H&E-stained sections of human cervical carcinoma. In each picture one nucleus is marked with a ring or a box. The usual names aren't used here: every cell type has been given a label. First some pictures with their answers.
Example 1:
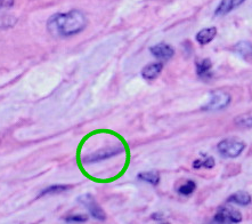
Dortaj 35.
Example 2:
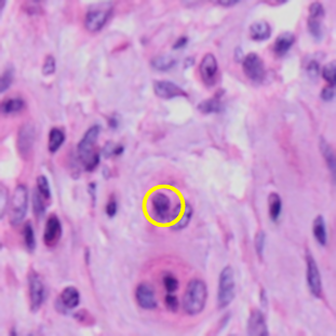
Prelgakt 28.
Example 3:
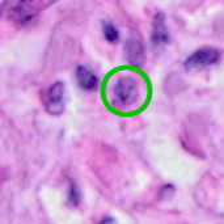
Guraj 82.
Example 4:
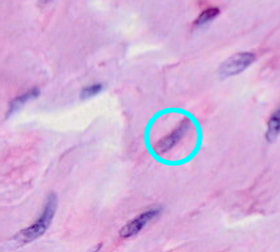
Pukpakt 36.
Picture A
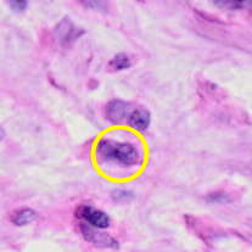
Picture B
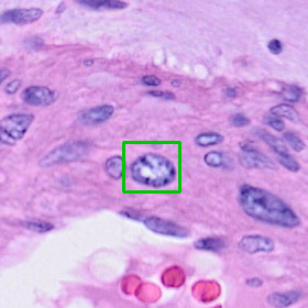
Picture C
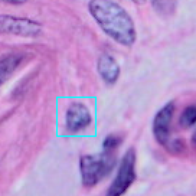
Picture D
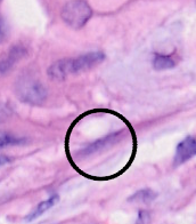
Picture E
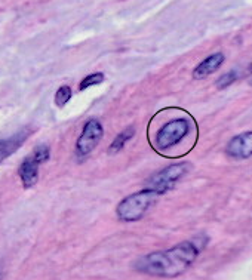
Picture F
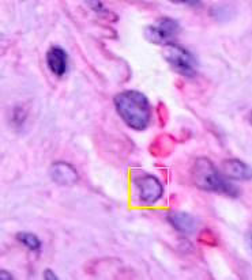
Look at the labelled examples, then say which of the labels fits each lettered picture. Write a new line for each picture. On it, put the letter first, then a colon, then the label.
A: Guraj 82.
B: Pukpakt 36.
C: Pukpakt 36.
D: Dortaj 35.
E: Pukpakt 36.
F: Prelgakt 28.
